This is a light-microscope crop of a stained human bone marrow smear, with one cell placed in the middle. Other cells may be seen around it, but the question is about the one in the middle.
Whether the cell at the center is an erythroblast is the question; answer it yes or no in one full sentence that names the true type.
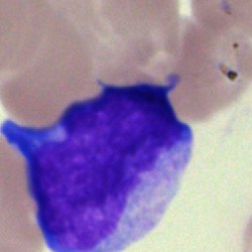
No; rather than an erythroblast, the cell at the center is a blast.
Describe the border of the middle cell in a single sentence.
Irregular rather than smooth, the cell margin shows ragged areas or projections.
